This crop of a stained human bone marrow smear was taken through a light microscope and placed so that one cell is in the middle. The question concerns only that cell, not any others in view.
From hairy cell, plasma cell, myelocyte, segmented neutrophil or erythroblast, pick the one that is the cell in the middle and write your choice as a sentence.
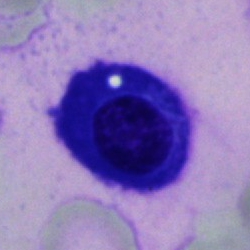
Classification of the middle cell gives a plasma cell.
